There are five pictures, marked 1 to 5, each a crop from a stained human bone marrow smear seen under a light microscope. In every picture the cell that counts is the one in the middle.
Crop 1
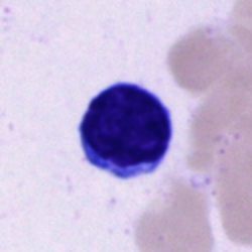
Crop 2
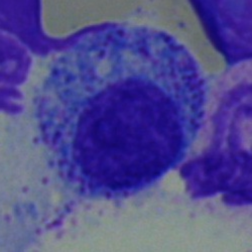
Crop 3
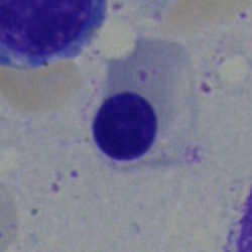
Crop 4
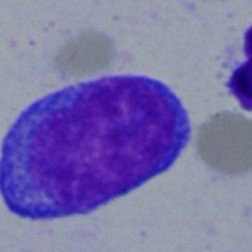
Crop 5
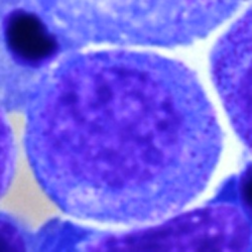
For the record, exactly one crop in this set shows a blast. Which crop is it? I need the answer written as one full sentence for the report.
Of the cells presented, the one in crop 4 is a blast.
